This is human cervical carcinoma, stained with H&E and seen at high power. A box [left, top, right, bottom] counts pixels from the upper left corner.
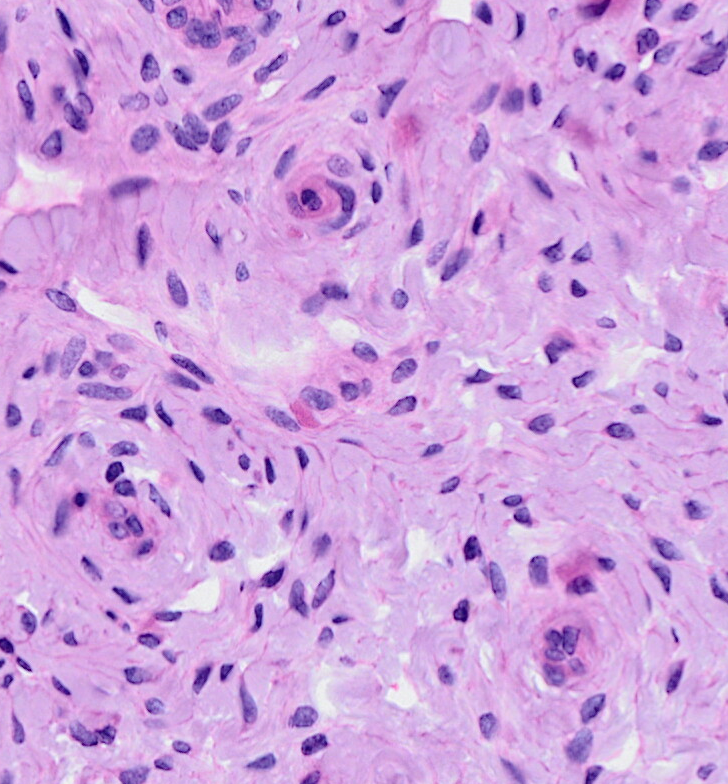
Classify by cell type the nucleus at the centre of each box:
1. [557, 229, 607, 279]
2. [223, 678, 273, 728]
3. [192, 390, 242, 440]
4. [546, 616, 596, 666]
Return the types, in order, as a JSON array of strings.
["fibroblast", "fibroblast", "fibroblast", "endothelial cell"]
